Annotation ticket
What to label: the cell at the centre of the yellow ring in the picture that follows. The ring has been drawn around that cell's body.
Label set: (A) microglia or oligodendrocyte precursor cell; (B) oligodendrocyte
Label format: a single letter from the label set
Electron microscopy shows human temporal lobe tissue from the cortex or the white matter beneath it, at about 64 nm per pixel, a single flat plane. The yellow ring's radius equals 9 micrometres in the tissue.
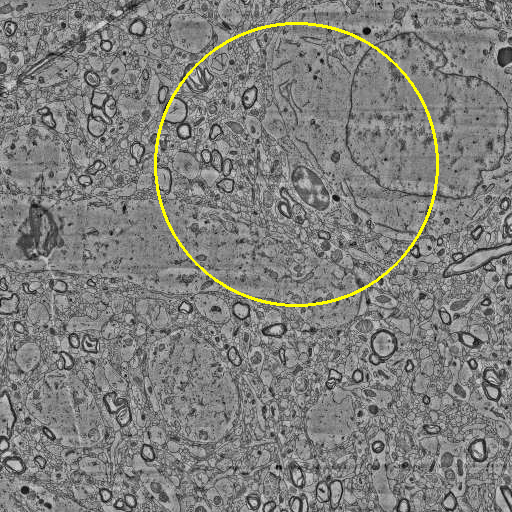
A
